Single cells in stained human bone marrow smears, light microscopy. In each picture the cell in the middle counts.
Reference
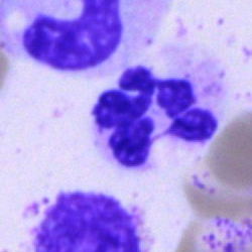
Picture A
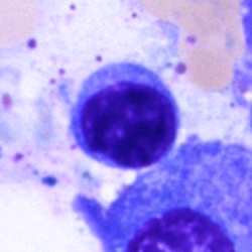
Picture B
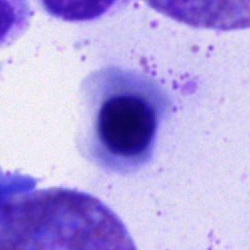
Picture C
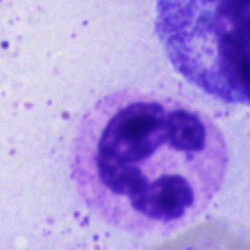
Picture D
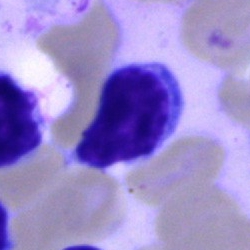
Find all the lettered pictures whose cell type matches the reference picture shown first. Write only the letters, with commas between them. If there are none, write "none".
C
